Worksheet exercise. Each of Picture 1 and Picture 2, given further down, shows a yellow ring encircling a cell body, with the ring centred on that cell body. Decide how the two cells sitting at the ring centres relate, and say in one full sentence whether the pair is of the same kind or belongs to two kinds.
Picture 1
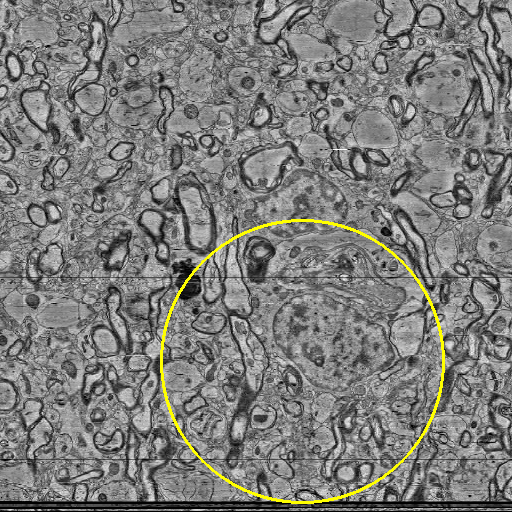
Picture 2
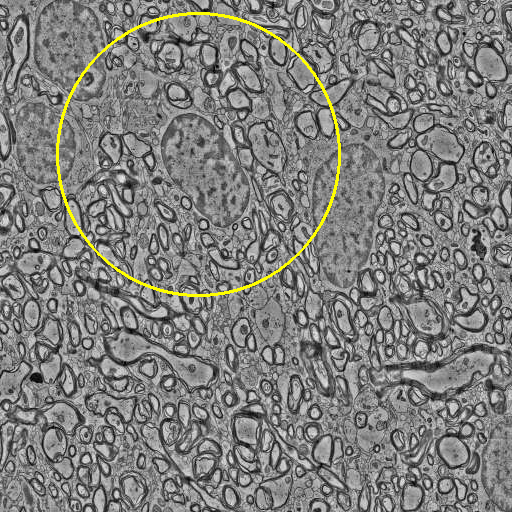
The cells at the ring centres in Picture 1 and Picture 2 belong to two kinds.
